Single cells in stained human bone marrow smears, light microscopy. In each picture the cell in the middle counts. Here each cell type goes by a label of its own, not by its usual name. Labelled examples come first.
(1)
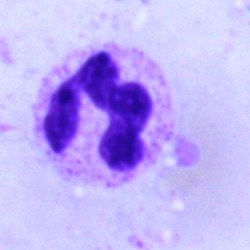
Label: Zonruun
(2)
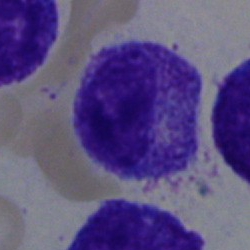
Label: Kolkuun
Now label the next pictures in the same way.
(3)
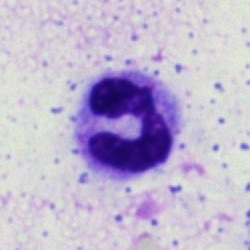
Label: Zonruun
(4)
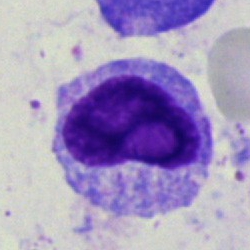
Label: Kolkuun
